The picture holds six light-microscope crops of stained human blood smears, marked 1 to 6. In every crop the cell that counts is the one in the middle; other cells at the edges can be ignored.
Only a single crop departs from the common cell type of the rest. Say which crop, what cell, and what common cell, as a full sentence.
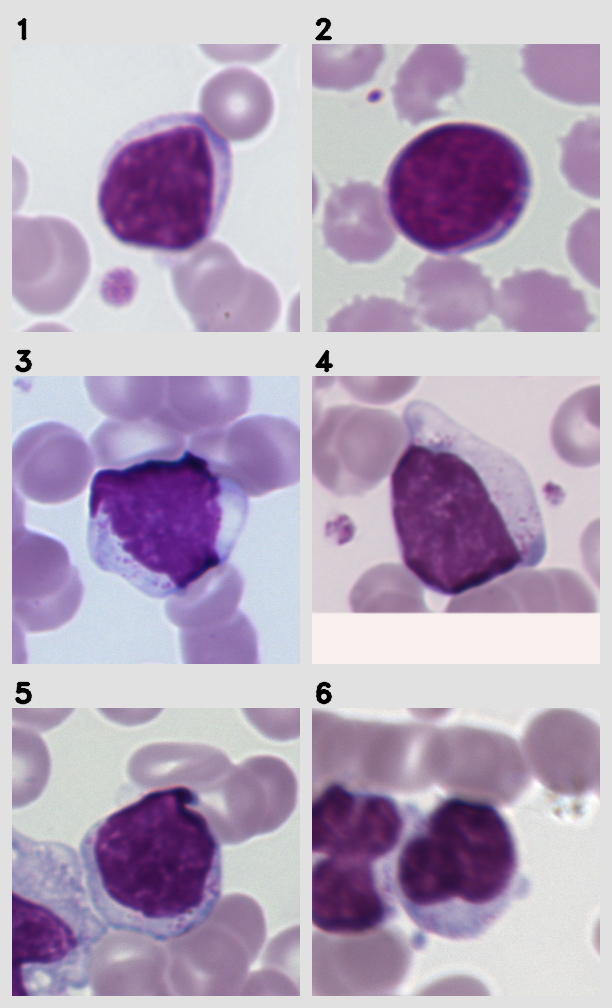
The single exception among the crops is crop 2, which is a myeloblast; the rest show large granular lymphocytes.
